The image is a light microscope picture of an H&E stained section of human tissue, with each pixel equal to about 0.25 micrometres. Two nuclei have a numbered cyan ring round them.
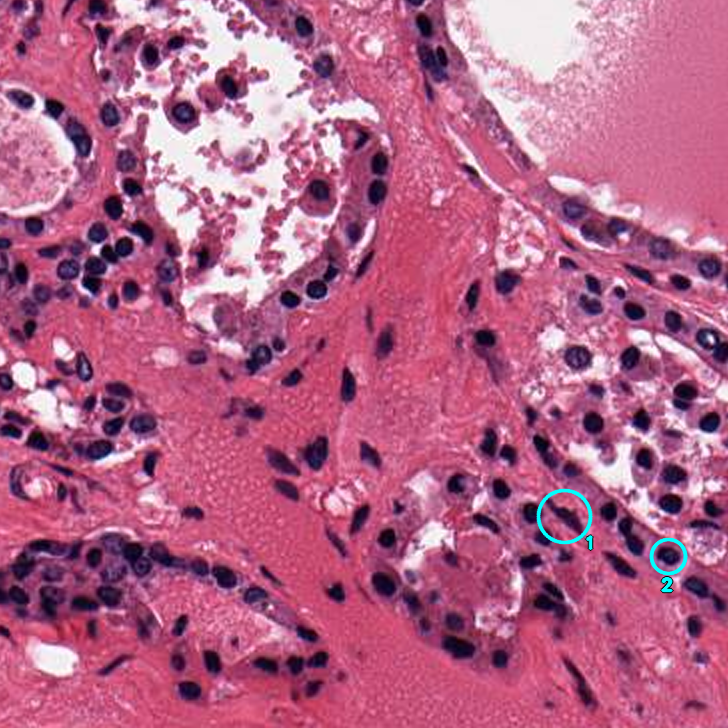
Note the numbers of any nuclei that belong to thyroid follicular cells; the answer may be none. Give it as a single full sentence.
Of the labelled nuclei, only nucleus 2 is part of a thyroid follicular cell.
